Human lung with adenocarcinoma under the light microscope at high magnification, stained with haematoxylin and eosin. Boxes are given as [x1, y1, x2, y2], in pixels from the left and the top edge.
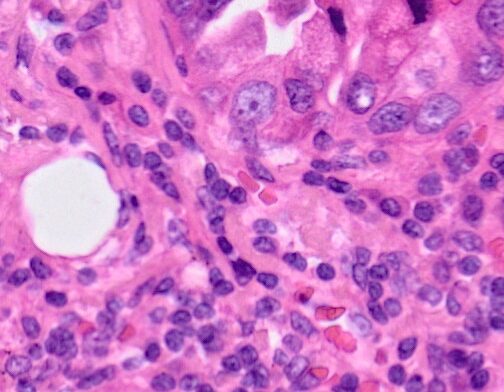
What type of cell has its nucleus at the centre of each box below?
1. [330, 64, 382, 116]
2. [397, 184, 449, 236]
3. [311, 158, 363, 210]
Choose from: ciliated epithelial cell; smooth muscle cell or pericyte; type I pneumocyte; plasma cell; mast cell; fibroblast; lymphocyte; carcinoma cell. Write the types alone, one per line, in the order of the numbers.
carcinoma cell
plasma cell
lymphocyte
